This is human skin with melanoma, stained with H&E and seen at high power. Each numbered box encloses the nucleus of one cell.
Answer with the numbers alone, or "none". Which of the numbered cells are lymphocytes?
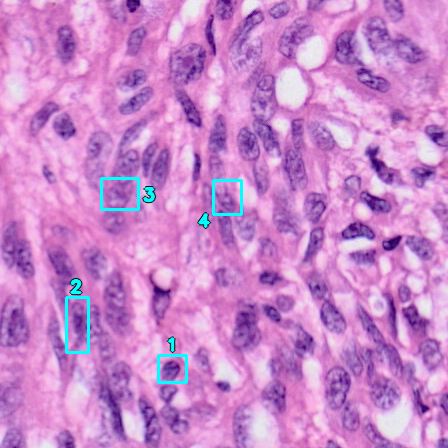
1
